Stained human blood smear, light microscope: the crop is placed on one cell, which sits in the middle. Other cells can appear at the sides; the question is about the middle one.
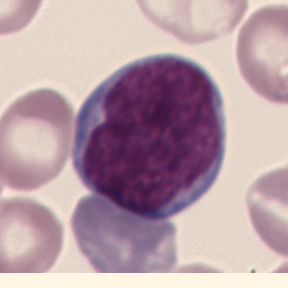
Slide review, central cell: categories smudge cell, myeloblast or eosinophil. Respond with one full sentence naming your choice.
What the crop centres on is a myeloblast.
